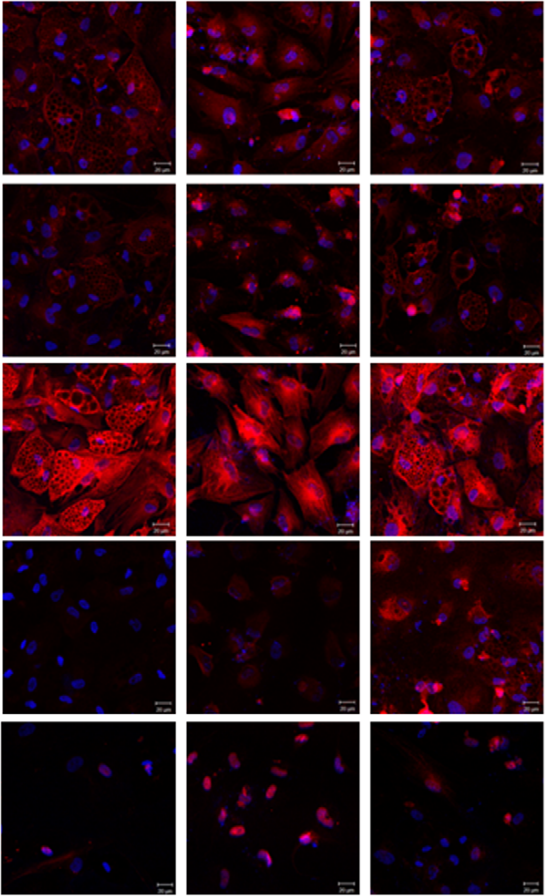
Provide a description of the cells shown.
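A grid of fluorescence images of cultured adipocytes, with oval nuclei in blue and cytoplasm stained red at varying strength. Many of the cells are broad and rounded, with cytoplasm filled by numerous small round dark vacuoles, each outlined by a rim of red stain. Flatter, elongated cells without such vacuoles lie between them, and in some images the red stain is faint or confined to a few cells.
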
